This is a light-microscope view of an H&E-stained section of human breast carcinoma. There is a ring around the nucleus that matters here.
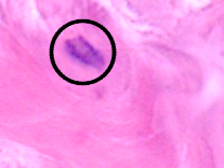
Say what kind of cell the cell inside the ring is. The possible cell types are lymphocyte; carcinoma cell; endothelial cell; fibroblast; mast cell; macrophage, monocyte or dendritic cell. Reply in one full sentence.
This is a fibroblast.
